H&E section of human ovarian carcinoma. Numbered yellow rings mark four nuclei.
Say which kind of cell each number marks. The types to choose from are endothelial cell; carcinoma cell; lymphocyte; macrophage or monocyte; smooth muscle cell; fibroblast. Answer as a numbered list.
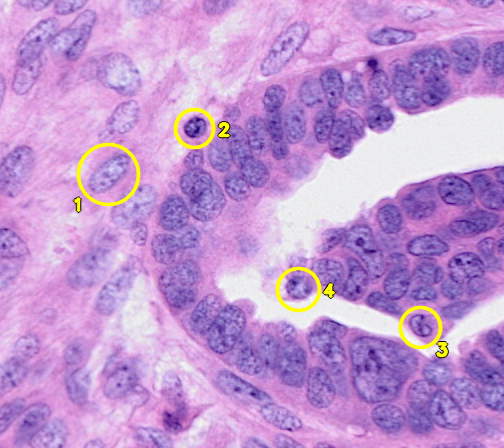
1. fibroblast
2. lymphocyte
3. macrophage or monocyte
4. macrophage or monocyte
